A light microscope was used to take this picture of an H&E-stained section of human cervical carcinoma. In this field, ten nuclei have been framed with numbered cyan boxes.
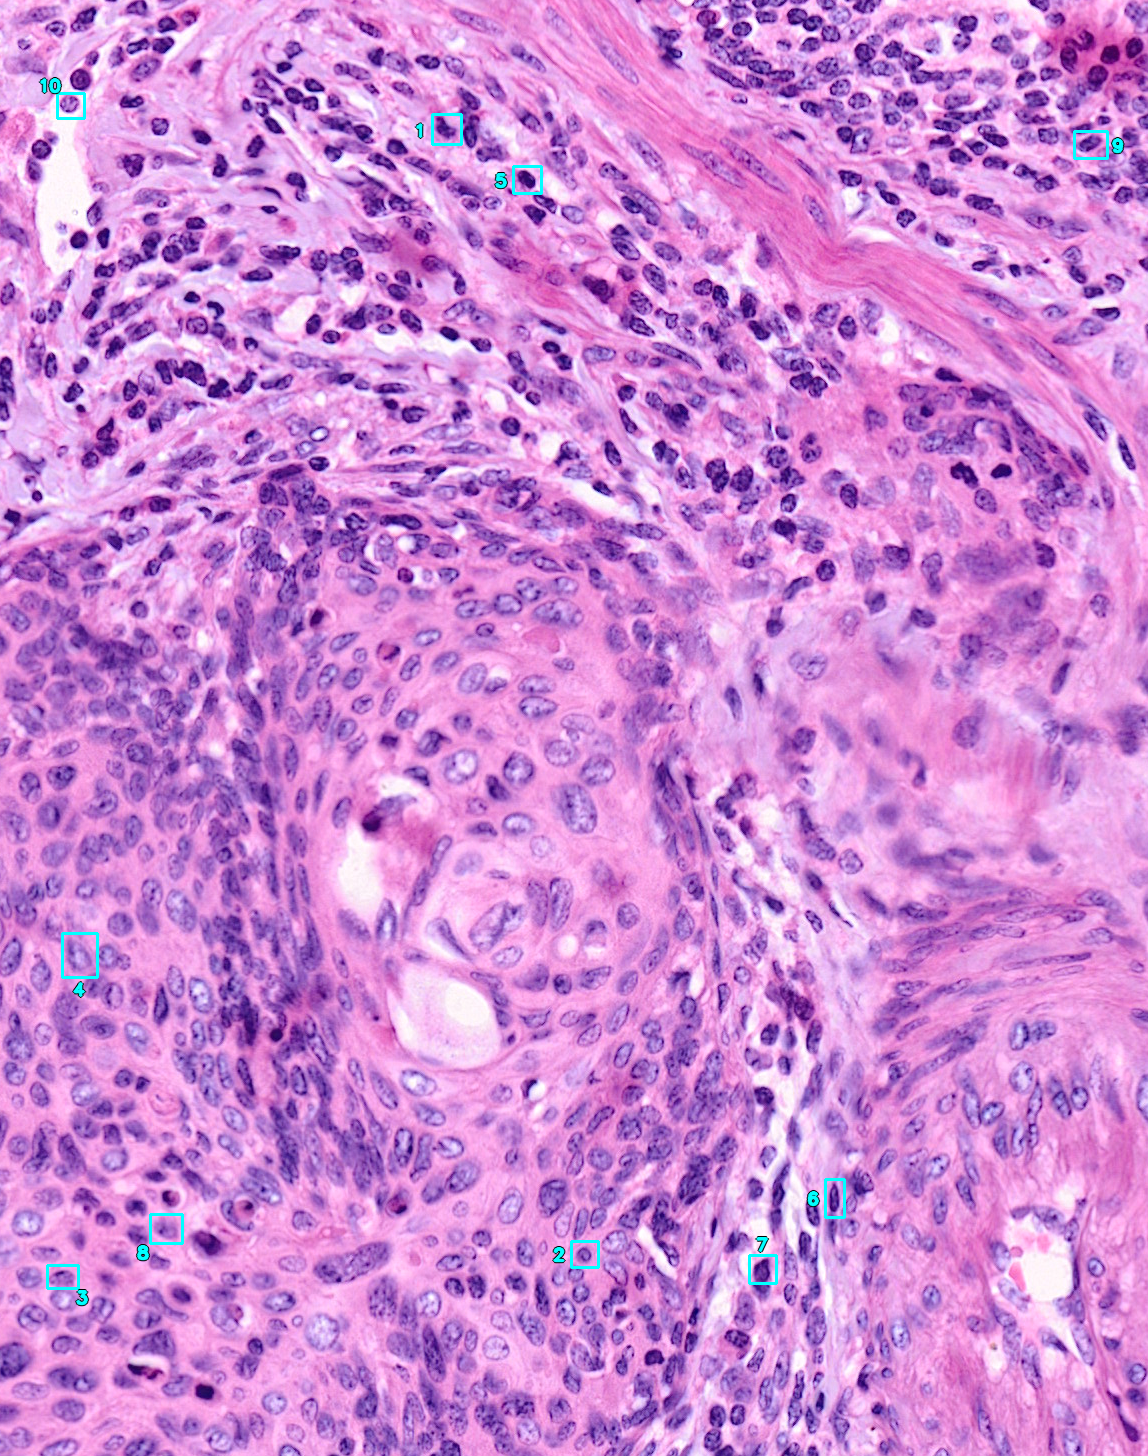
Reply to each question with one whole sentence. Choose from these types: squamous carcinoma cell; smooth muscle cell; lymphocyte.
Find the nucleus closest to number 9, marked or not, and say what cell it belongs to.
The nucleus nearest to number 9 is that of a lymphocyte.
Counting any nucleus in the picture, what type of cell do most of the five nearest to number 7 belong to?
Lymphocytes make up most of the five nuclei closest to number 7.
